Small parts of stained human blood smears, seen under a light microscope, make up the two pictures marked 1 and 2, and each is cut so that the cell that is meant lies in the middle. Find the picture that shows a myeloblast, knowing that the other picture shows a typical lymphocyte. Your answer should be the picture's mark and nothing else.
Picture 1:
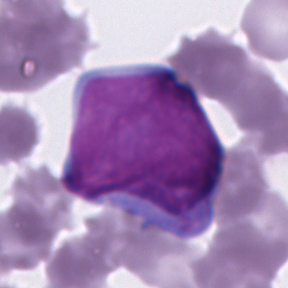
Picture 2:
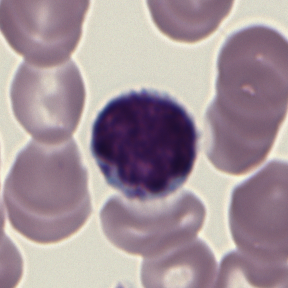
1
